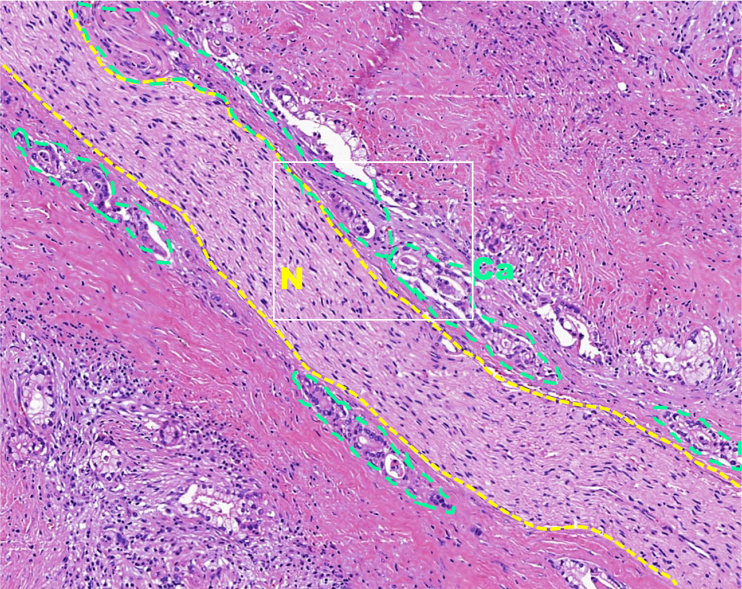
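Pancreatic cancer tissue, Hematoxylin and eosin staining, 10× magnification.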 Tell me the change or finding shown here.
Perineural invasion.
